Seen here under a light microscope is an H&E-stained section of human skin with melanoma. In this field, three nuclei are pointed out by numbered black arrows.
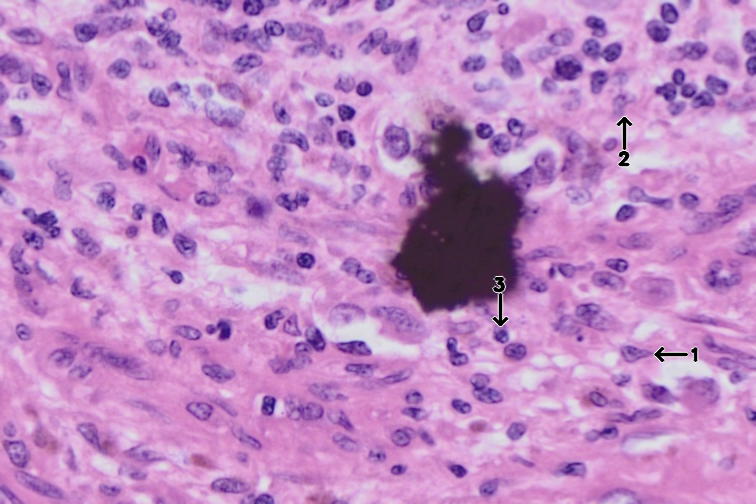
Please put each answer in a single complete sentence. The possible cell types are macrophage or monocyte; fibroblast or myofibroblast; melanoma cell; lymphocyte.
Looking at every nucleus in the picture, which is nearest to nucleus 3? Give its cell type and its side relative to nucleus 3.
The nearest nucleus is that of a macrophage or monocyte and lies below and to the right of nucleus 3.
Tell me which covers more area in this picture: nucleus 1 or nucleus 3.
Nucleus 1 covers more area, about 1.5 times as much as nucleus 3.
